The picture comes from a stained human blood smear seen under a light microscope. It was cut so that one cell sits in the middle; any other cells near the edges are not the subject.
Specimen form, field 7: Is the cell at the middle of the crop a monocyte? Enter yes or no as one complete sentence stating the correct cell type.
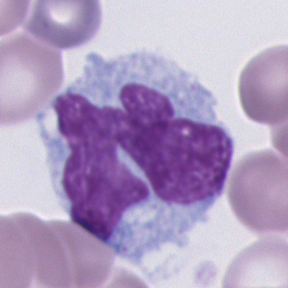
Yes, the cell at the centre is designated a monocyte.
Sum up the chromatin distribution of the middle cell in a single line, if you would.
No coarse chromatin clumps are present; the pattern is fine.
